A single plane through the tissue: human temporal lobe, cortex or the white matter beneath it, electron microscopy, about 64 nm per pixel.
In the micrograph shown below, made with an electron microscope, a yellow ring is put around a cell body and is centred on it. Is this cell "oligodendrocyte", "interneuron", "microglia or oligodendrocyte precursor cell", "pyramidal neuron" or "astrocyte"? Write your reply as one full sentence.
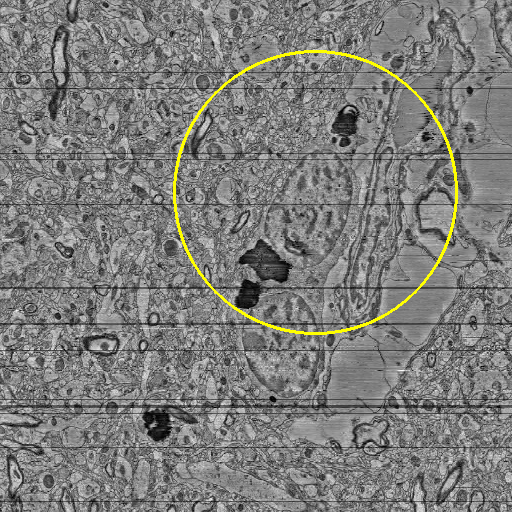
In the micrograph, an oligodendrocyte is the cell at the centre of the yellow ring.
